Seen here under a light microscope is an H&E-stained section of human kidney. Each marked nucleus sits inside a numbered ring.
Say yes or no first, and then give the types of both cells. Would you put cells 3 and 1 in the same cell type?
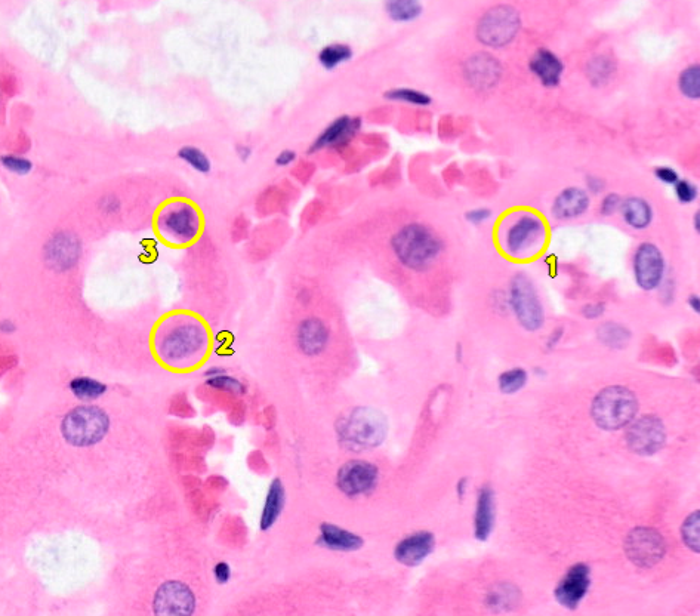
No, cell 3 is identified as a proximal tubule cell, and cell 1 is identified as a collecting duct cell.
